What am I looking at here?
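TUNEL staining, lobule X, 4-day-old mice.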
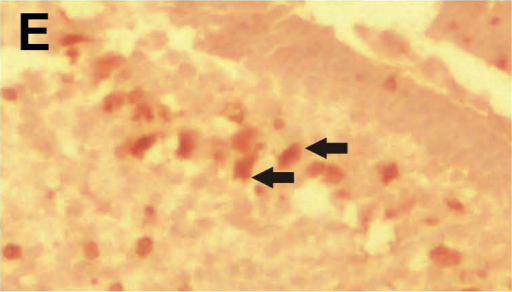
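This is a developing cerebellar folium in which several large Purkinje cell bodies stand out, stained dark reddish-brown. At the upper right runs a densely packed, darker pink band of small cells forming the outer surface layer of the folium. Beneath it, the dark brown cell bodies lie in a loose, irregular row, some clustered close together; they are rounded to oval and clearly larger than the small, pale pink nuclei scattered through the surrounding tissue. The background is pale pink with many small round nuclei, and a few further isolated brown cells lie scattered deeper in the folium.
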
